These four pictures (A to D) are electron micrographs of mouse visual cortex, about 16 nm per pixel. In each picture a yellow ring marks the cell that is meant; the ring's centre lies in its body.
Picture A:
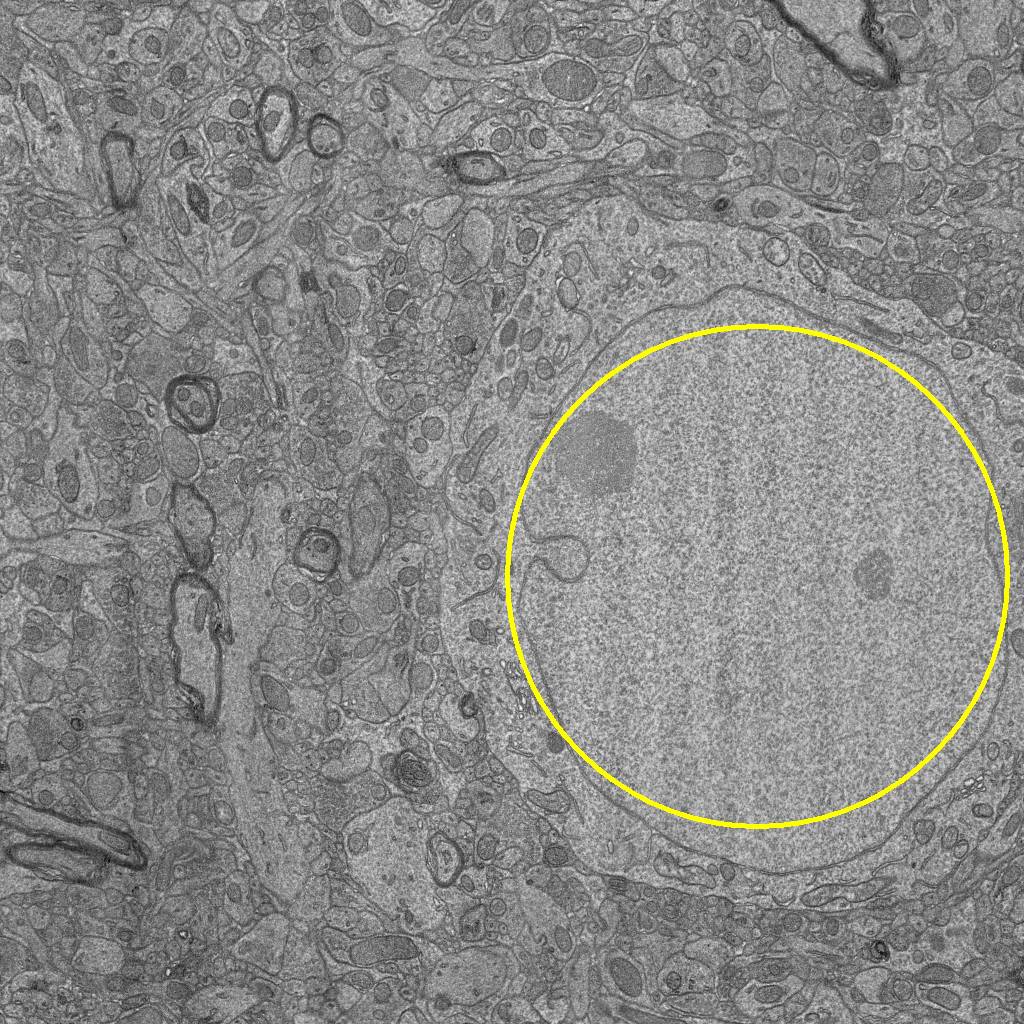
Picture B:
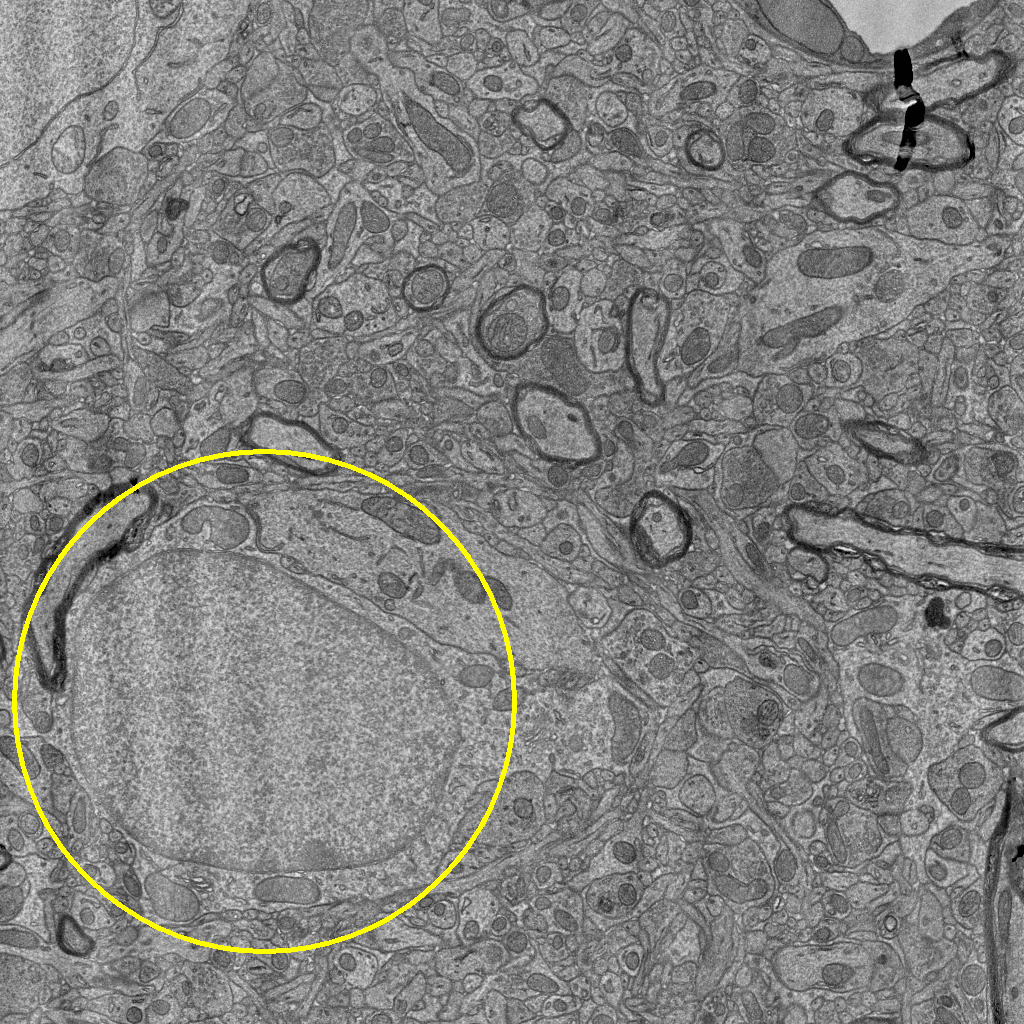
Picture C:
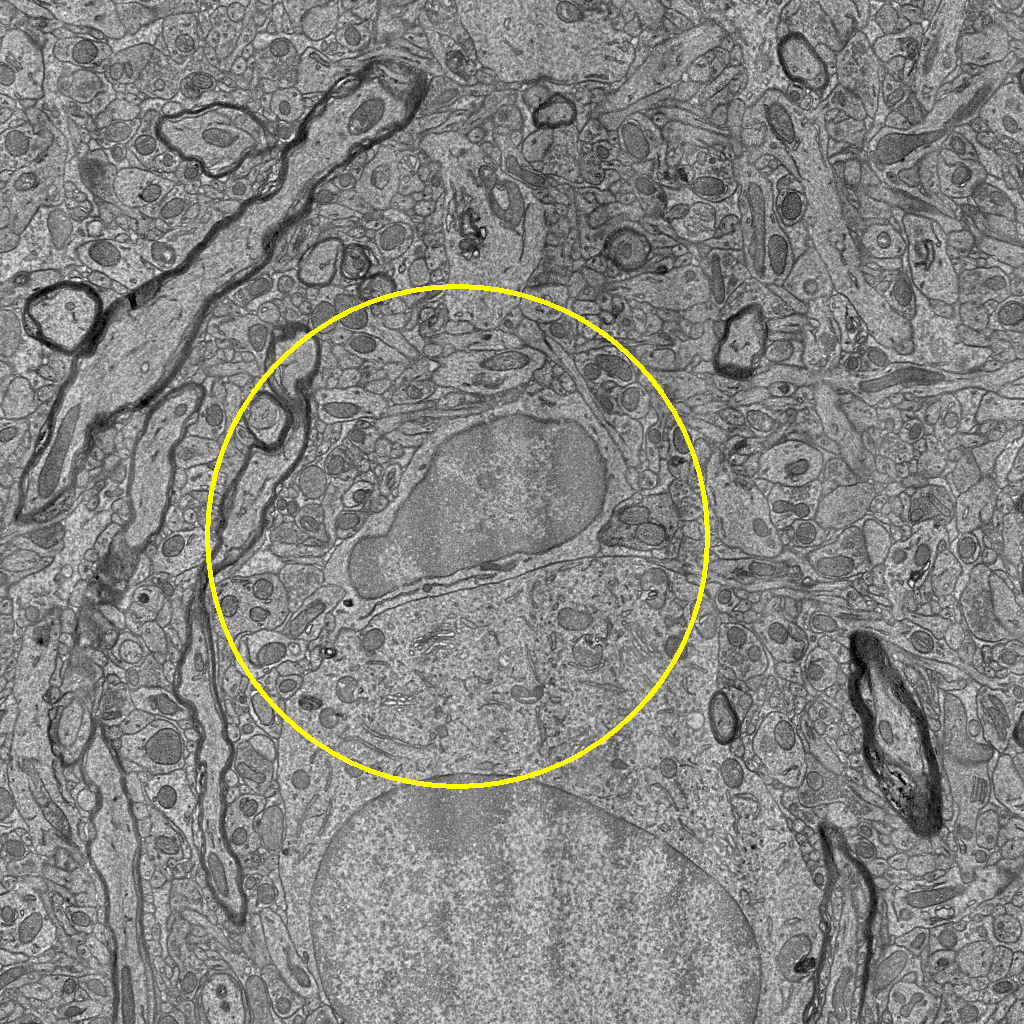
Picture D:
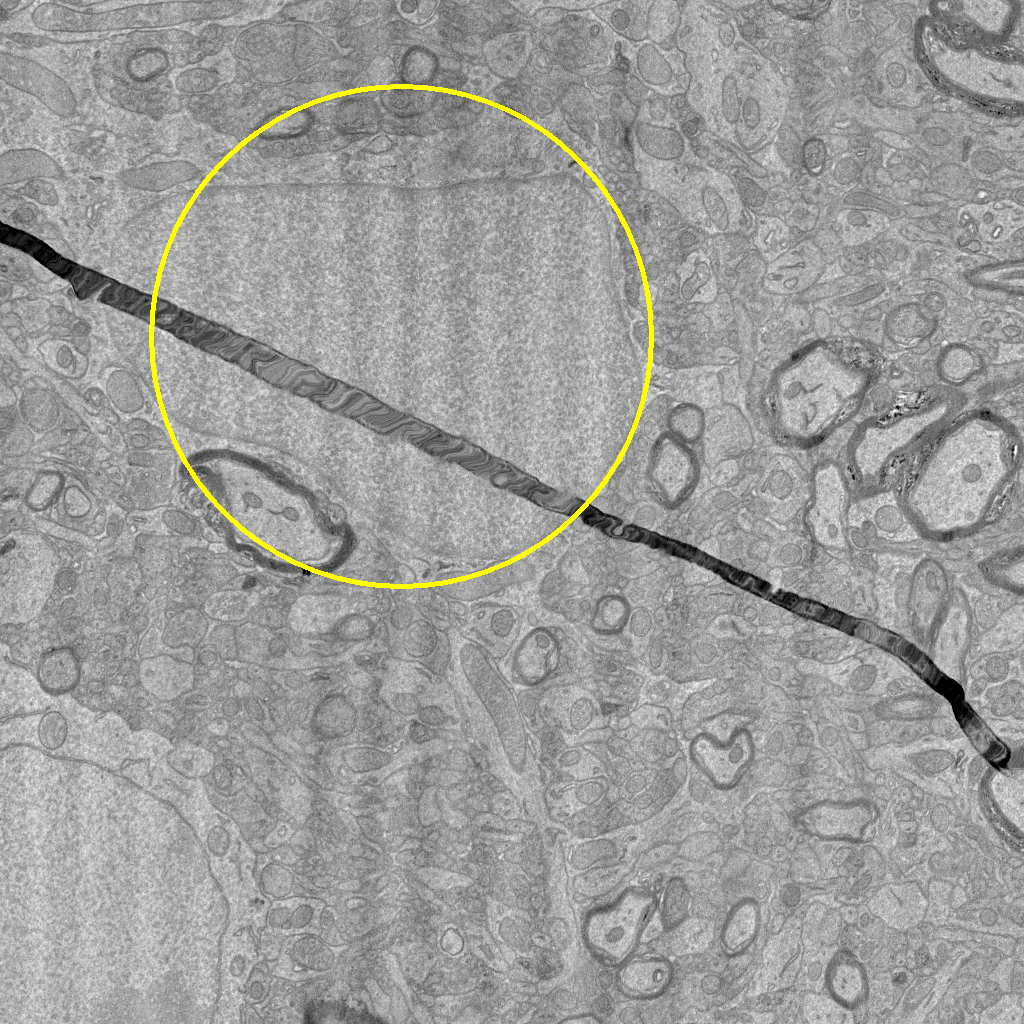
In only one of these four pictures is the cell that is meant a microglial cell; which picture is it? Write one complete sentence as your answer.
The cell in picture C is the microglial cell.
